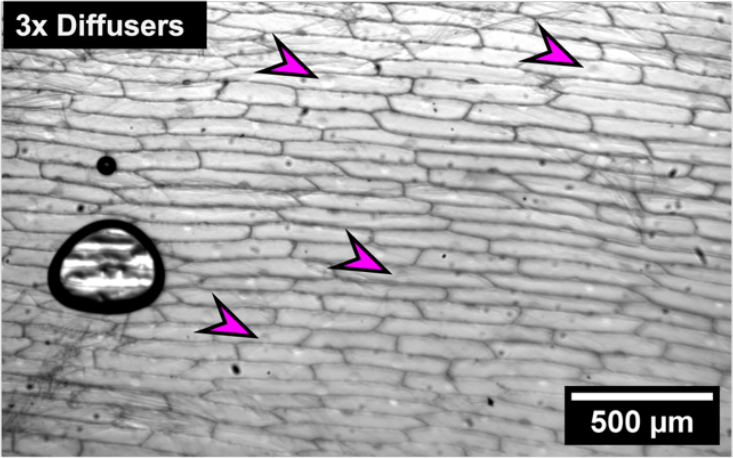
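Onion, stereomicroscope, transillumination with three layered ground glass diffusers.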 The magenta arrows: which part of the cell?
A: Cell nuclei.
